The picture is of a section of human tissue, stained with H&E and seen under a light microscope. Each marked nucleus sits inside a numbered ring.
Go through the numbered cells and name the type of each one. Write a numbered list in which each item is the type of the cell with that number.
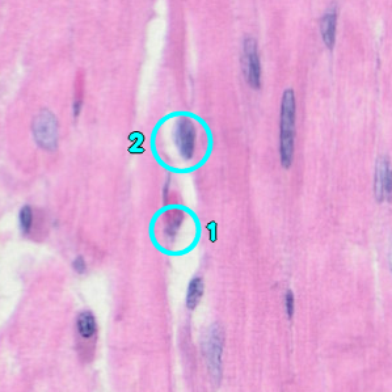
1. endothelial cell
2. fibroblast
